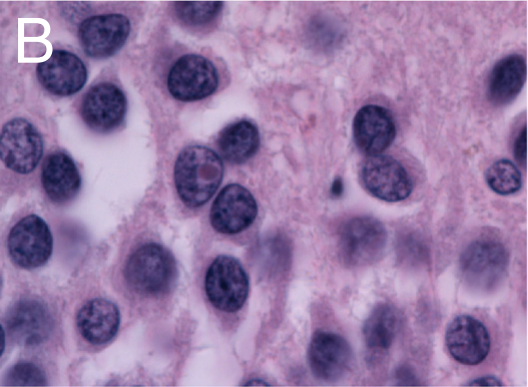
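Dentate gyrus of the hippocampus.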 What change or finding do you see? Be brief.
intranuclear inclusion body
